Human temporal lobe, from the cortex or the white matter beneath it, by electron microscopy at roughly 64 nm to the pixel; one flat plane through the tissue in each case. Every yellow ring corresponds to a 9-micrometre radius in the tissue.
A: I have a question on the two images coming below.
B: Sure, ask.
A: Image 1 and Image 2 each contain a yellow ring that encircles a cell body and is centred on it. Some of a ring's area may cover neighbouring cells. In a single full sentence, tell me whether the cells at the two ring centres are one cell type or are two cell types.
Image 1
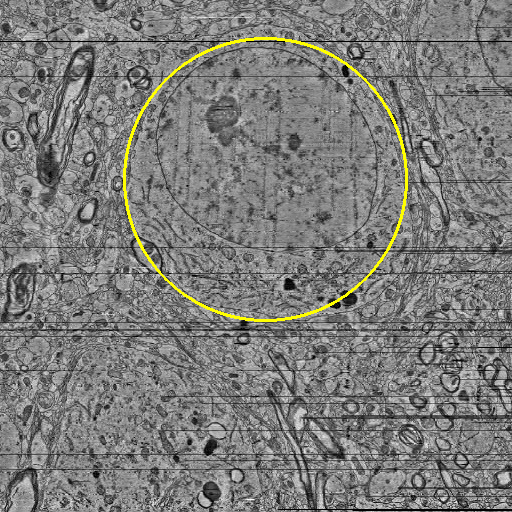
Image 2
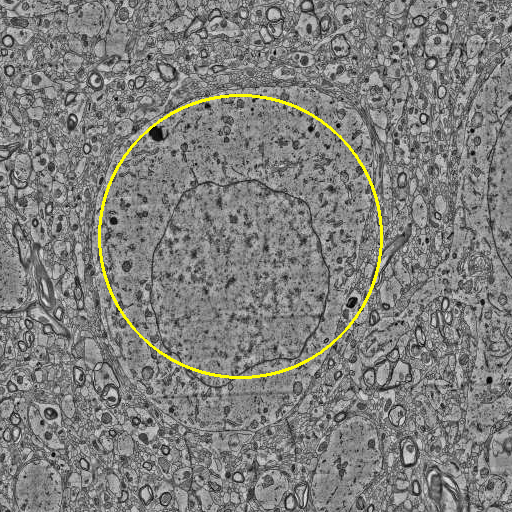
As for the ring-centre cells, the one in Image 1 and the one in Image 2 are one cell type.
